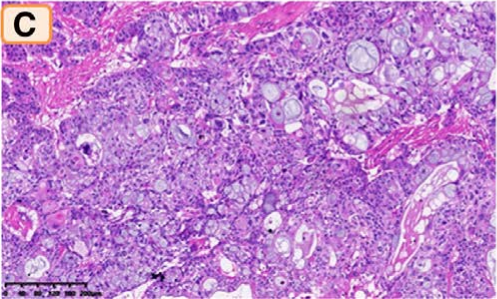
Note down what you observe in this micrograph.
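The mucinous cells carry large, rounded, pale bluish-grey vacuoles that fill much of the cytoplasm and push the nucleus aside, and some vacuoles merge into bubbly clusters. Between them lie crowded cells with darker nuclei and little cytoplasm. Strands of pink fibrous stroma run through the field, and a few spaces with pink material and scattered cells lie at the edges.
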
